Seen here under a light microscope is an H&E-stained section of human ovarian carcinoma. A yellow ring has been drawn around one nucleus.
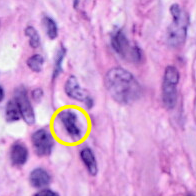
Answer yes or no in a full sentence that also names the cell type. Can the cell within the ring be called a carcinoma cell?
No, the cell within the ring qualifies as a lymphocyte and does not qualify as a carcinoma cell.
